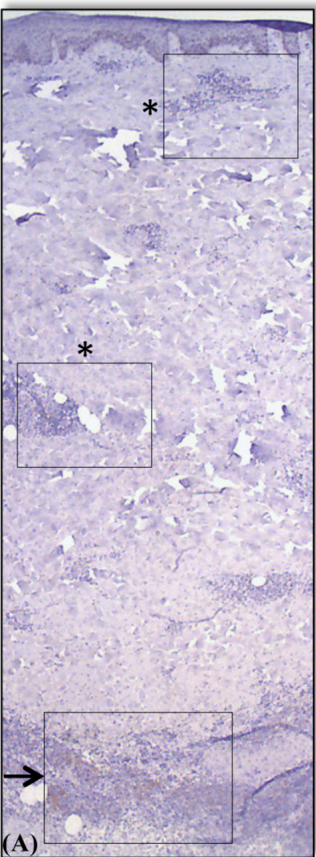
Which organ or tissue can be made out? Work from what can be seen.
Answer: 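A stratified epithelial layer runs along the top edge. Below it a broad dermis with scattered cell clusters. On this evidence: skin.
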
